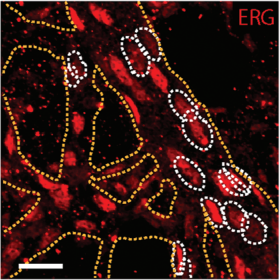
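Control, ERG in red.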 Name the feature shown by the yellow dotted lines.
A: Vasculature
